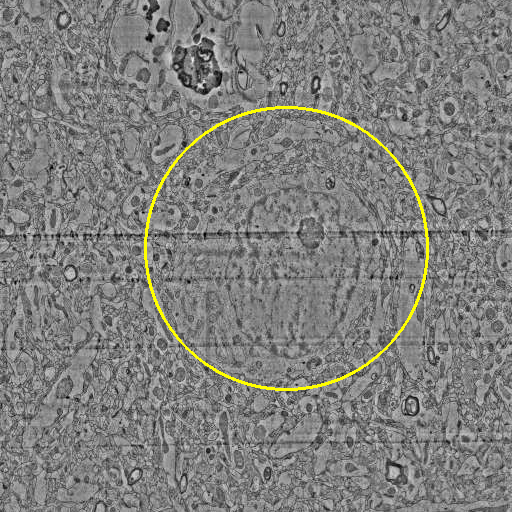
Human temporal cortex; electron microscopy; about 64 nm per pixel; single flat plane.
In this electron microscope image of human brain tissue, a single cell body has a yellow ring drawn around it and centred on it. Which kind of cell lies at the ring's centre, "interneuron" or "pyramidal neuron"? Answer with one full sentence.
It is an interneuron whose cell body lies at the centre of the yellow ring here.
